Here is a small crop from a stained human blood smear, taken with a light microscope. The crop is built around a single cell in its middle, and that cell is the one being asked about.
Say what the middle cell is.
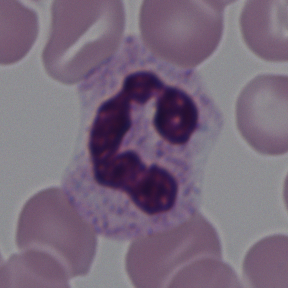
segmented neutrophil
